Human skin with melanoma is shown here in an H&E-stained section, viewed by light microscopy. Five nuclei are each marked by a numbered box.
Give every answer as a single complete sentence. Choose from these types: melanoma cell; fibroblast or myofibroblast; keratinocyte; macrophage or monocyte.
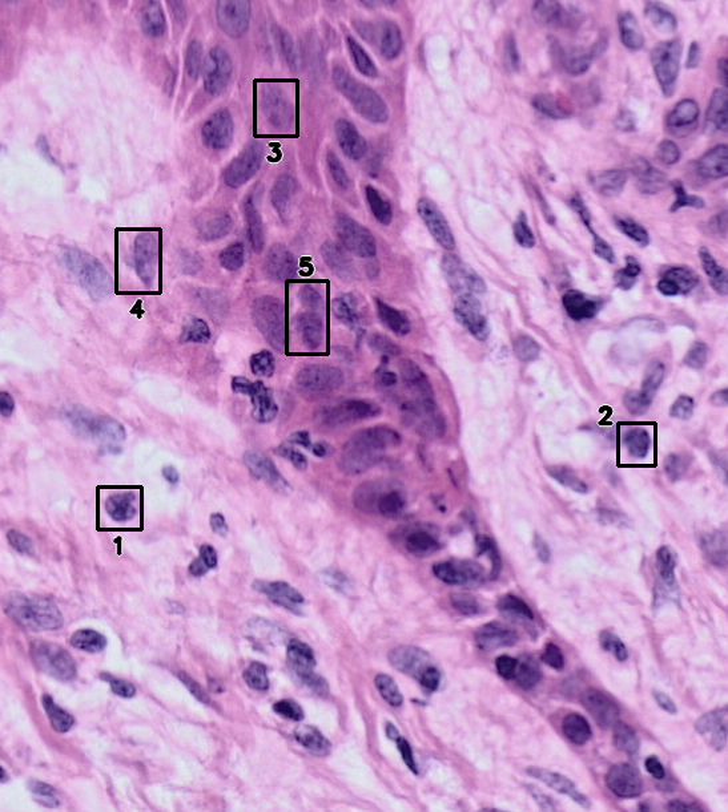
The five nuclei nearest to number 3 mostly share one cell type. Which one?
The majority of the five nuclei closest to number 3 belong to keratinocytes.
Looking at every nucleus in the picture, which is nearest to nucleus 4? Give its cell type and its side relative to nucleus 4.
The closest nucleus belongs to a keratinocyte and sits to the right of nucleus 4.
